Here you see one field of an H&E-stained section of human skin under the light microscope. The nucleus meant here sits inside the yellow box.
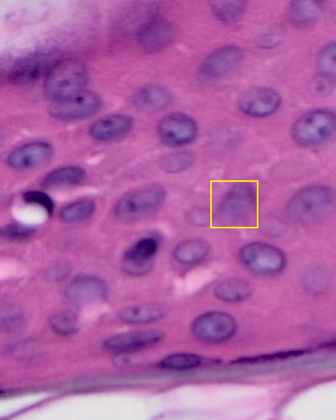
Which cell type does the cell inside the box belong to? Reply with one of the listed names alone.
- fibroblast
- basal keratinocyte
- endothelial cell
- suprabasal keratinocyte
suprabasal keratinocyte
